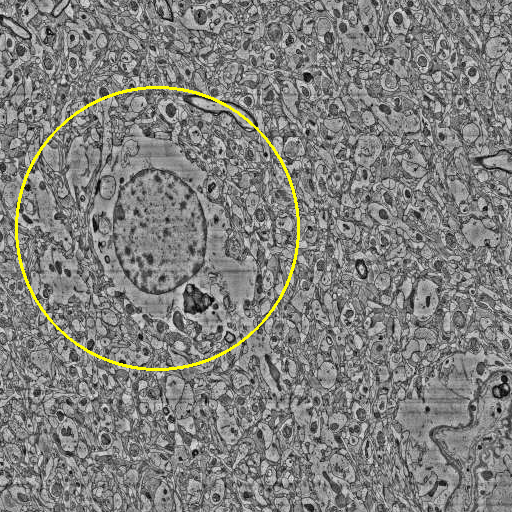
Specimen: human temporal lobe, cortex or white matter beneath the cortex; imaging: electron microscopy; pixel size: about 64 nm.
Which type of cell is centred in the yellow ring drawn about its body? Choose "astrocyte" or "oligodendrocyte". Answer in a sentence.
The yellow ring surrounds the cell body of an astrocyte.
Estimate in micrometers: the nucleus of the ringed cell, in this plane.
Approximately 8 x 6 micrometres in this plane.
